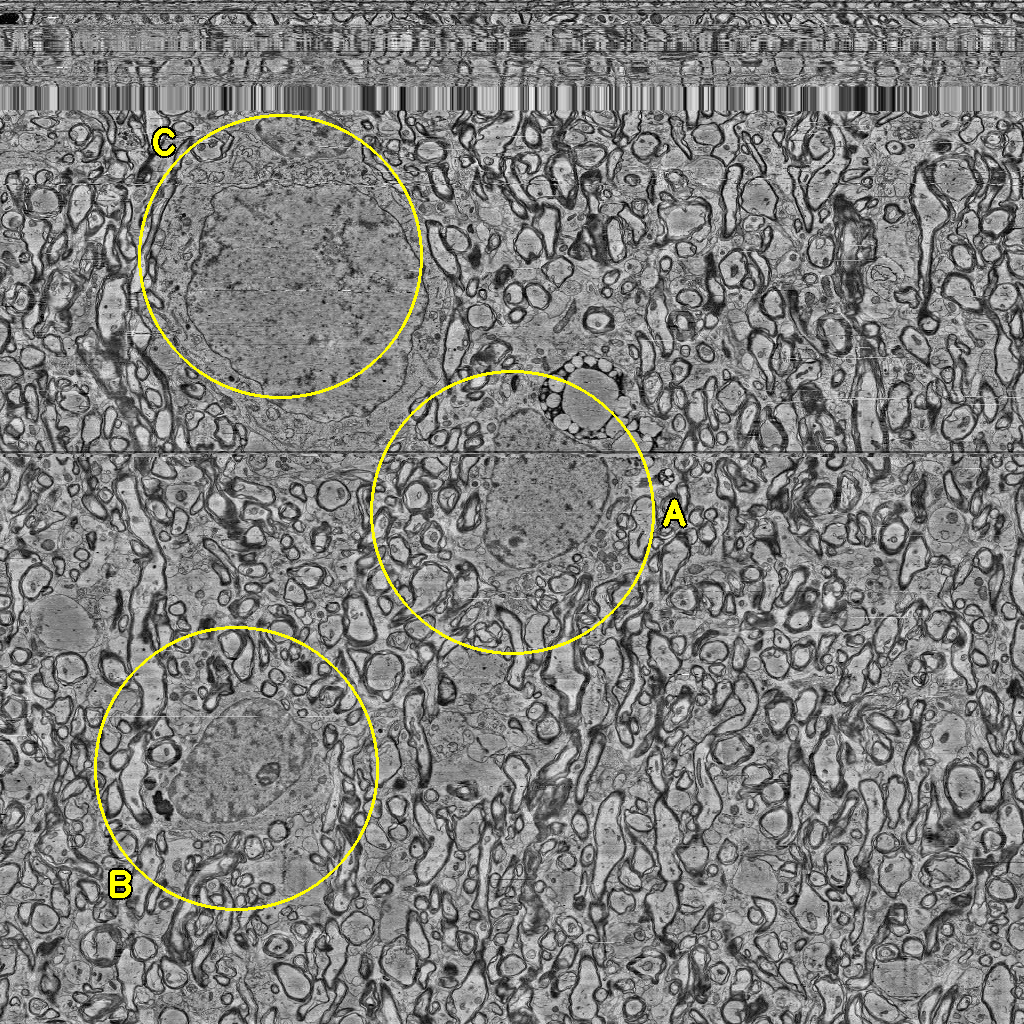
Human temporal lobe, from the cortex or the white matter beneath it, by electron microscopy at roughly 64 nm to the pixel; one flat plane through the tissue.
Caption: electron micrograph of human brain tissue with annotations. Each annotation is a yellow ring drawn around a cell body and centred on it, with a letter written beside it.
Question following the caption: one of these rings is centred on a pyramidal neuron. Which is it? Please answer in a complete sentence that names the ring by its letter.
The ring with the letter C is centred on it.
